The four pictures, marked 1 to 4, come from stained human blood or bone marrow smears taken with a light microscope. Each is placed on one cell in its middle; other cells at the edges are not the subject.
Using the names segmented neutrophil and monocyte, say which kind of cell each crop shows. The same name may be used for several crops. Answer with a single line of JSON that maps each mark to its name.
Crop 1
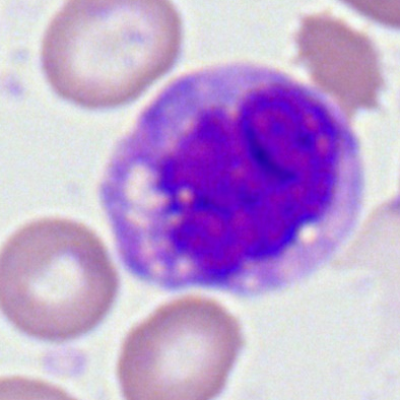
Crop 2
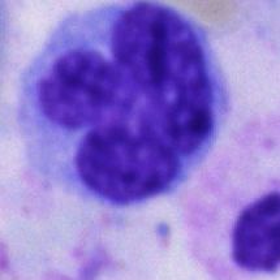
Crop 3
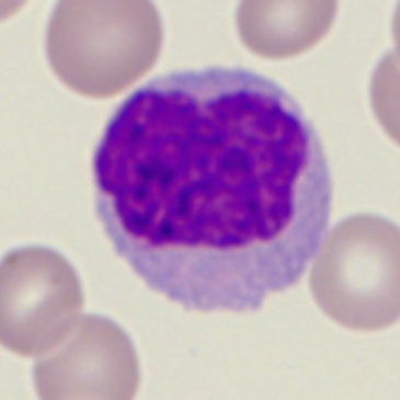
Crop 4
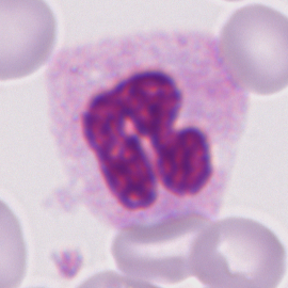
{"1": "monocyte", "2": "monocyte", "3": "monocyte", "4": "segmented neutrophil"}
